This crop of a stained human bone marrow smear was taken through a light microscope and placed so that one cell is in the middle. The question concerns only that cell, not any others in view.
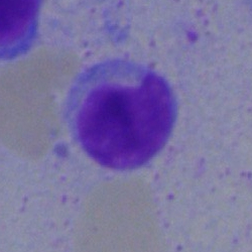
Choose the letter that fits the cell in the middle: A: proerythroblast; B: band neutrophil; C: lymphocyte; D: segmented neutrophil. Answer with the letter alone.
C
